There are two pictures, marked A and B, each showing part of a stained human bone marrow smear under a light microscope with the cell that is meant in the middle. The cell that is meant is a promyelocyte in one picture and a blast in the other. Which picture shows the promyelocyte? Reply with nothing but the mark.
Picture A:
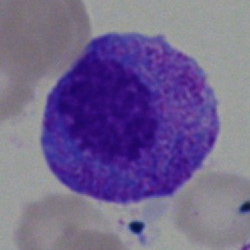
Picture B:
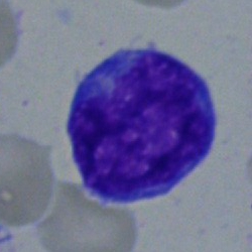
A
